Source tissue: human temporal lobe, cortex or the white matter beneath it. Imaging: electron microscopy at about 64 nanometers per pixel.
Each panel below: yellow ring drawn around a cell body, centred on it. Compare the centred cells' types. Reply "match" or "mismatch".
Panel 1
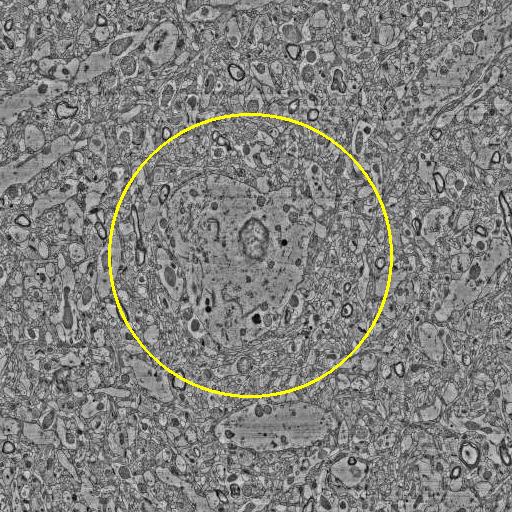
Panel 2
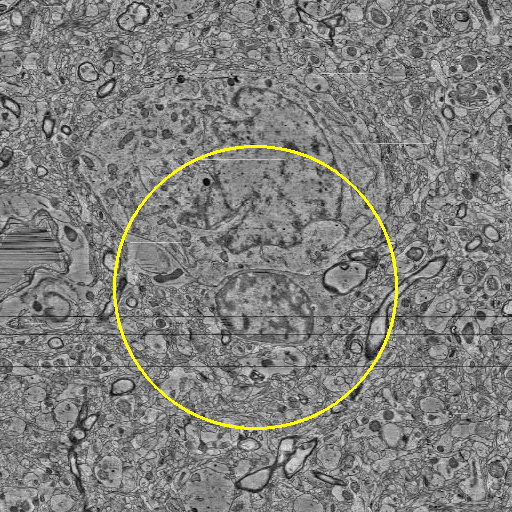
mismatch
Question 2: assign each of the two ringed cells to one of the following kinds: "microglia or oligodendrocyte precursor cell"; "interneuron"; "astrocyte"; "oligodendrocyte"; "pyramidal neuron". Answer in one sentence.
The two cells are a pyramidal neuron in the first picture and an oligodendrocyte in the second.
